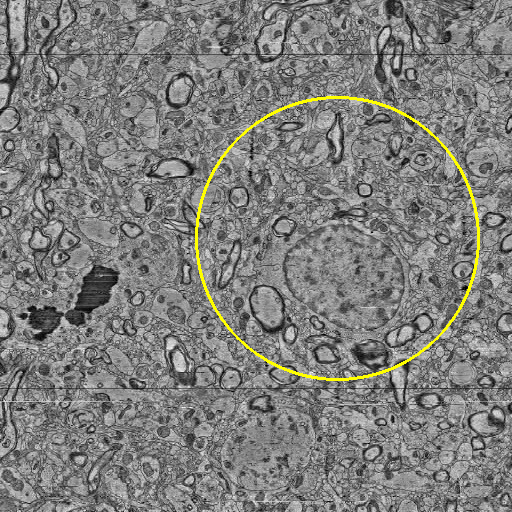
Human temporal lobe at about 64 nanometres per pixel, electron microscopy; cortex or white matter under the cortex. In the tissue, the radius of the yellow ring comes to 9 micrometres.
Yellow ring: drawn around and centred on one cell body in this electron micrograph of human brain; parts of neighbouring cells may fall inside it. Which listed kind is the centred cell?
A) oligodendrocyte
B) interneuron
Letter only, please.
A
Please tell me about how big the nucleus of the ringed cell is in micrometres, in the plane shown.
Roughly 8 by 6 micrometres is the size of the nucleus in this plane.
